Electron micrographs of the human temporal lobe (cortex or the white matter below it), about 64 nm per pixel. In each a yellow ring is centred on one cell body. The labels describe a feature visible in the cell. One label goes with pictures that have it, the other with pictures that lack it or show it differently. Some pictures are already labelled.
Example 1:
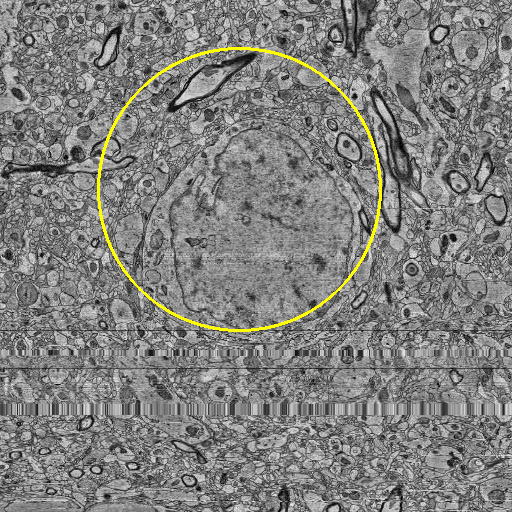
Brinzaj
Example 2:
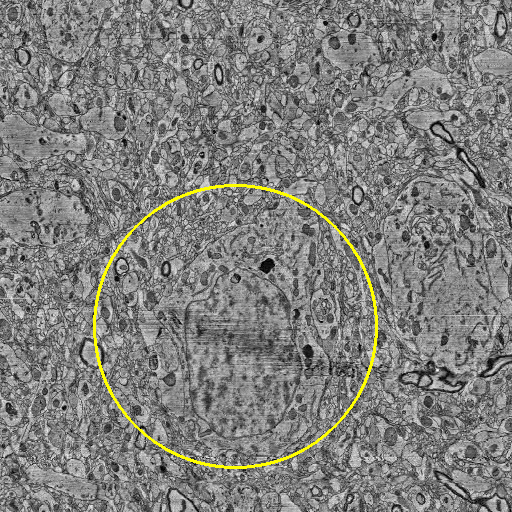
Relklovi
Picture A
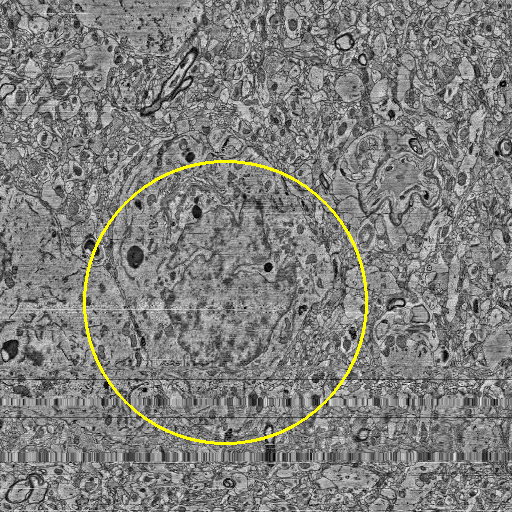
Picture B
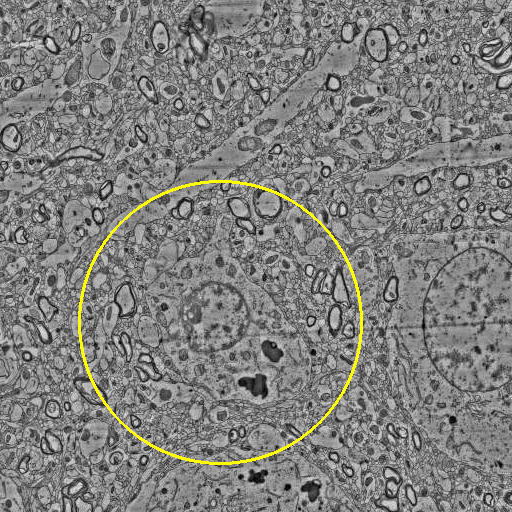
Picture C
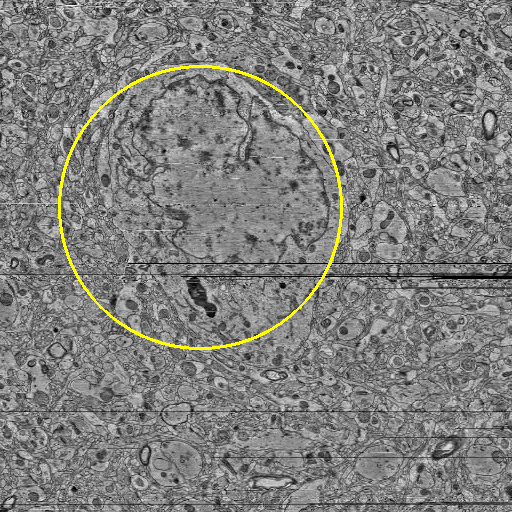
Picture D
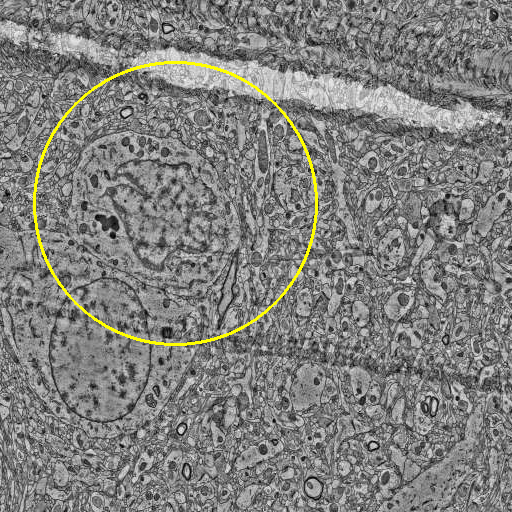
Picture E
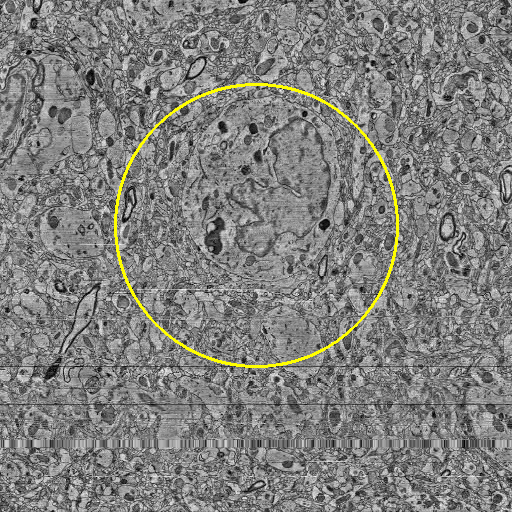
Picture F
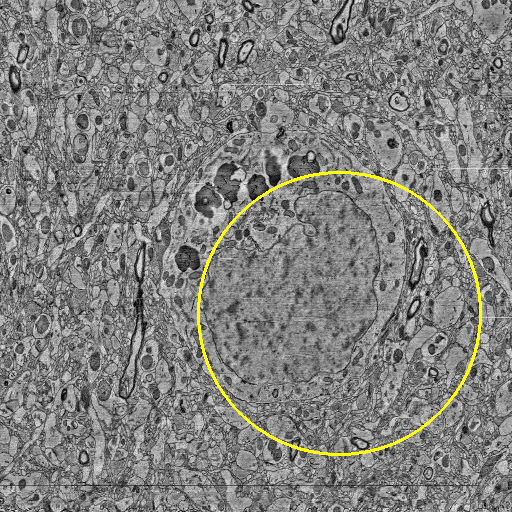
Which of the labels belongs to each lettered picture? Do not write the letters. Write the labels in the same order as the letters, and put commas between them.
Brinzaj, Relklovi, Brinzaj, Brinzaj, Brinzaj, Brinzaj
